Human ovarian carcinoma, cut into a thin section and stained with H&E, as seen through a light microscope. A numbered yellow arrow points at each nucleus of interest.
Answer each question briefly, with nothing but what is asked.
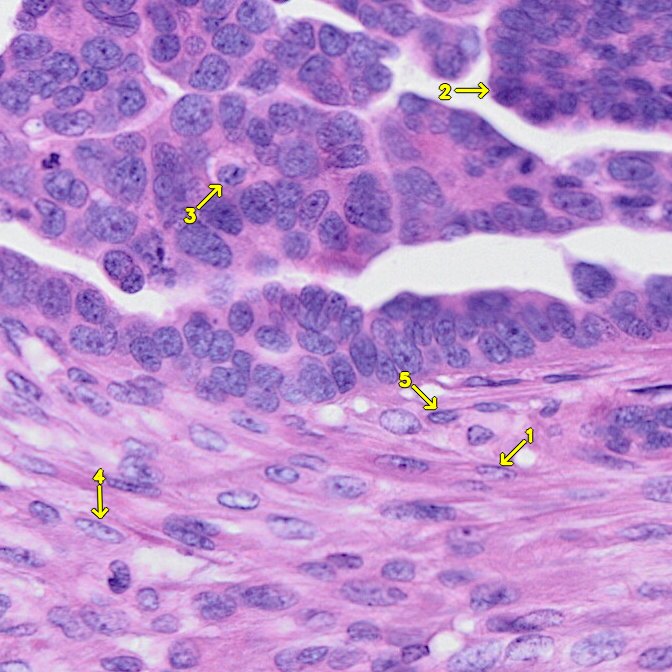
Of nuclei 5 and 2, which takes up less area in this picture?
5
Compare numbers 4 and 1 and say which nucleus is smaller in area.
1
